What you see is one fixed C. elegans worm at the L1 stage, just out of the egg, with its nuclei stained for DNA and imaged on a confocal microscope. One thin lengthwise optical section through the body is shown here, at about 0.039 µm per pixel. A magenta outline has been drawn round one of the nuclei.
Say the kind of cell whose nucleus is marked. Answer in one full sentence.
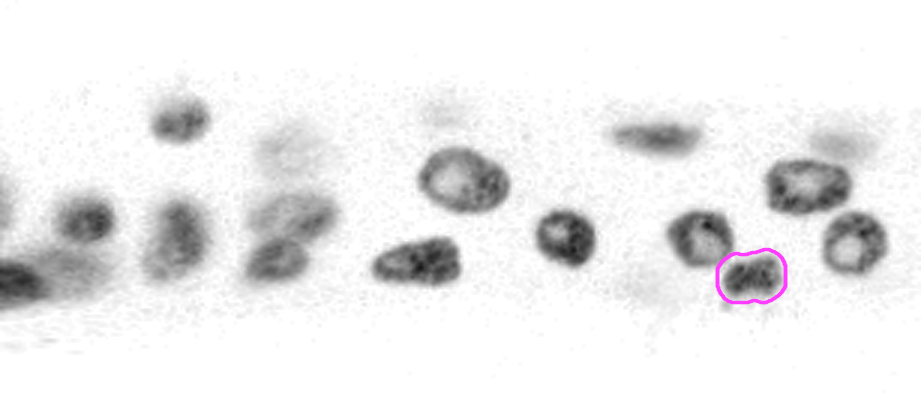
What is marked is the nucleus of a P cell (ventral epidermal blast cell).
